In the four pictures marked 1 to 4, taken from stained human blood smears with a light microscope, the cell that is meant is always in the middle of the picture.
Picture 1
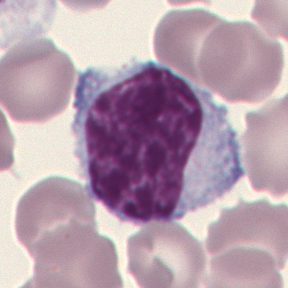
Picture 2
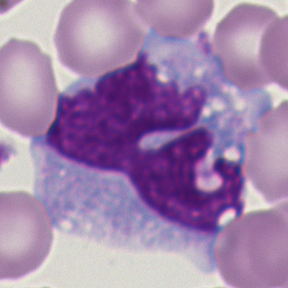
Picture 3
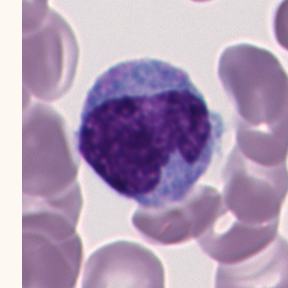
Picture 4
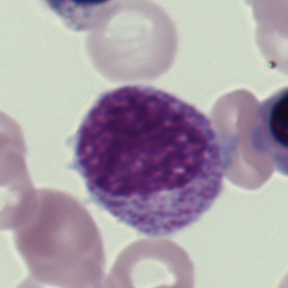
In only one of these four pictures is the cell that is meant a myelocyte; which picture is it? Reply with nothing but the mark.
4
